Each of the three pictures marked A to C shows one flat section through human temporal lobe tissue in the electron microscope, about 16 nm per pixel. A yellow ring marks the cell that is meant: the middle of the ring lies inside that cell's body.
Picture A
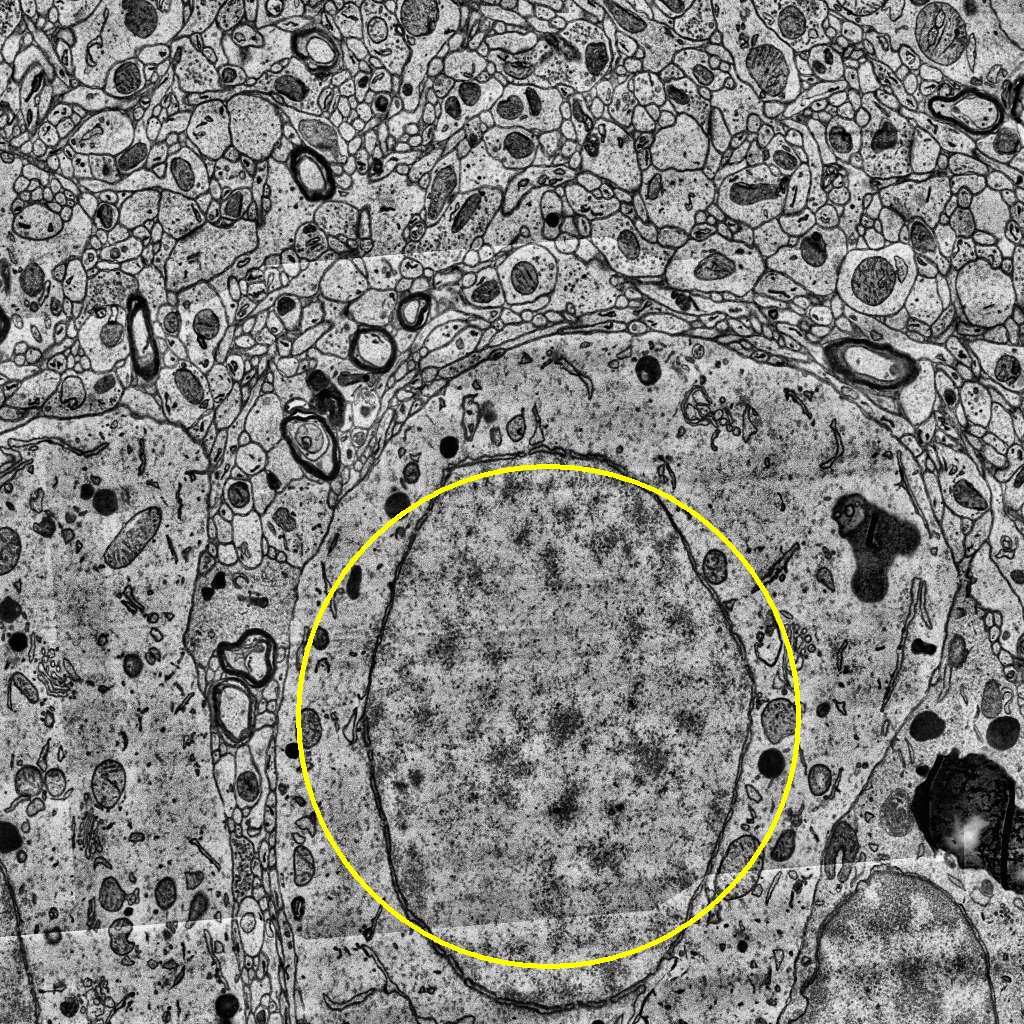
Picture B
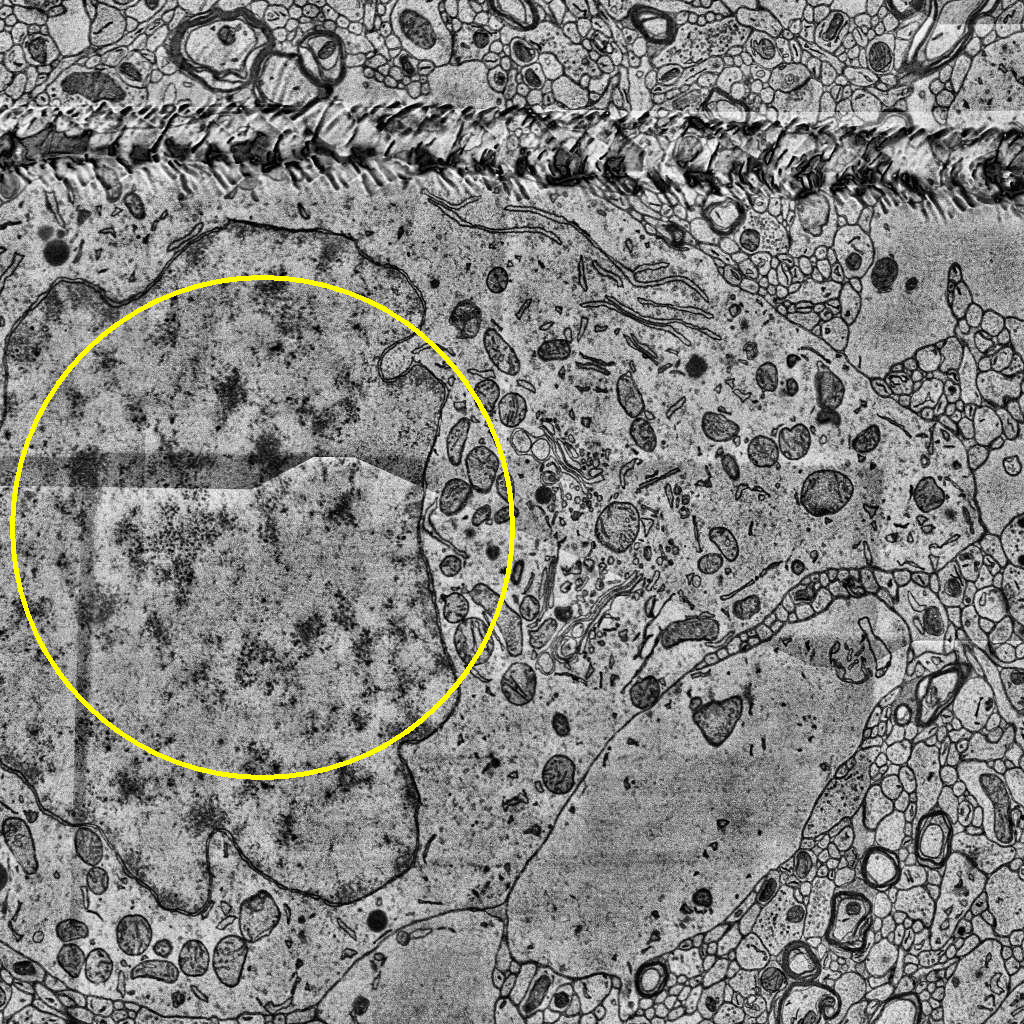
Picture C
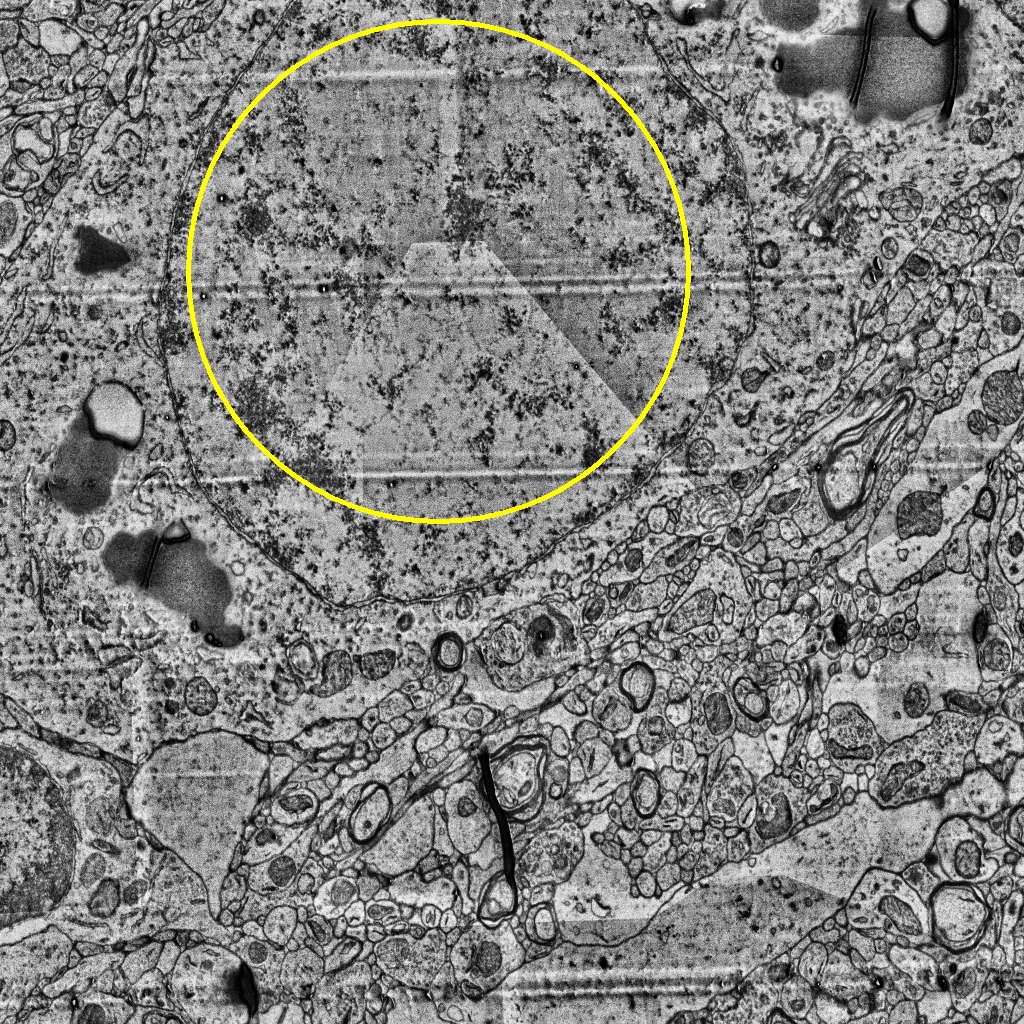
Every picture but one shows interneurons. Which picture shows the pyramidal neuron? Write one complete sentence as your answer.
The pyramidal neuron is the one in picture A.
